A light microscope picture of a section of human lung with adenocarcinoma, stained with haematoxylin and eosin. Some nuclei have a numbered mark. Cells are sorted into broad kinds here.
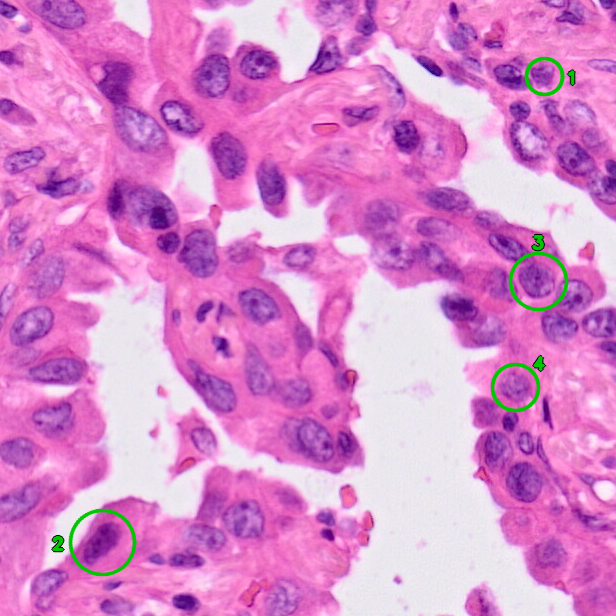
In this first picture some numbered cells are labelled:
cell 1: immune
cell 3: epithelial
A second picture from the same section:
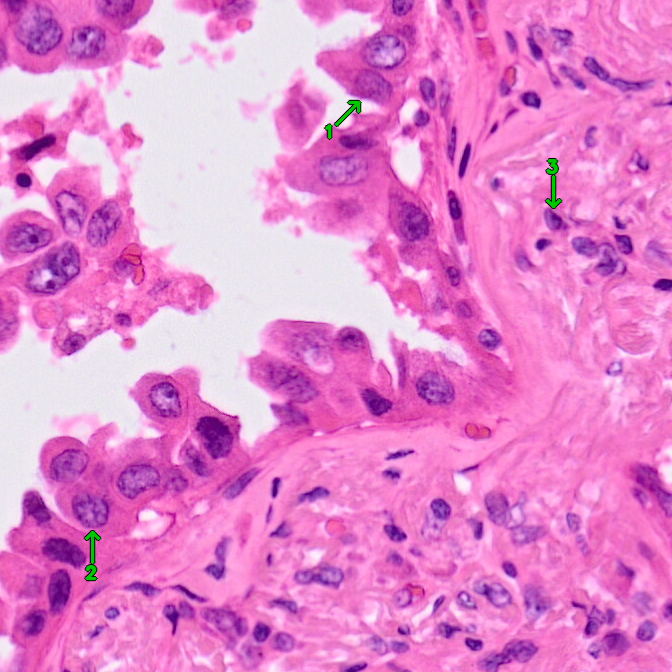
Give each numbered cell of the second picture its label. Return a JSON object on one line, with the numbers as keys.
{"1": "epithelial", "2": "epithelial", "3": "immune"}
